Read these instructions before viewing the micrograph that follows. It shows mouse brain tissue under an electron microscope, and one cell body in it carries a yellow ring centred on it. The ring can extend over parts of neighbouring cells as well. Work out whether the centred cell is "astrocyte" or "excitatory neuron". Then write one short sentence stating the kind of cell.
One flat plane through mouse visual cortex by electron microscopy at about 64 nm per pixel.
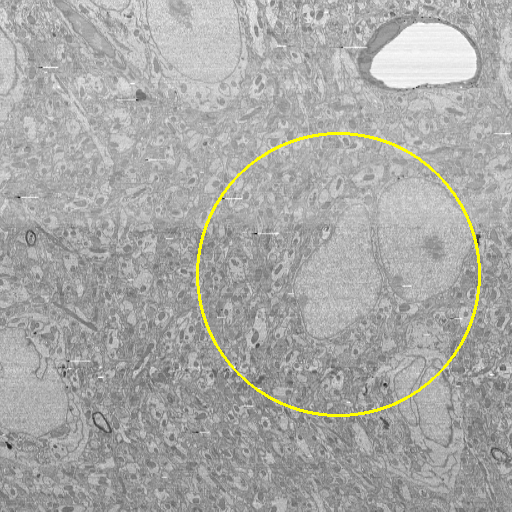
The ringed cell is an astrocyte.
